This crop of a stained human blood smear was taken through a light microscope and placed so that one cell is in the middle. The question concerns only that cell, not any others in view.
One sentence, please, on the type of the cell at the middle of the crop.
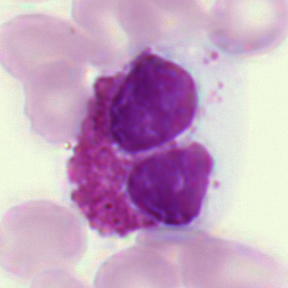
The cell at the middle of the frame should be recorded as an eosinophil.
